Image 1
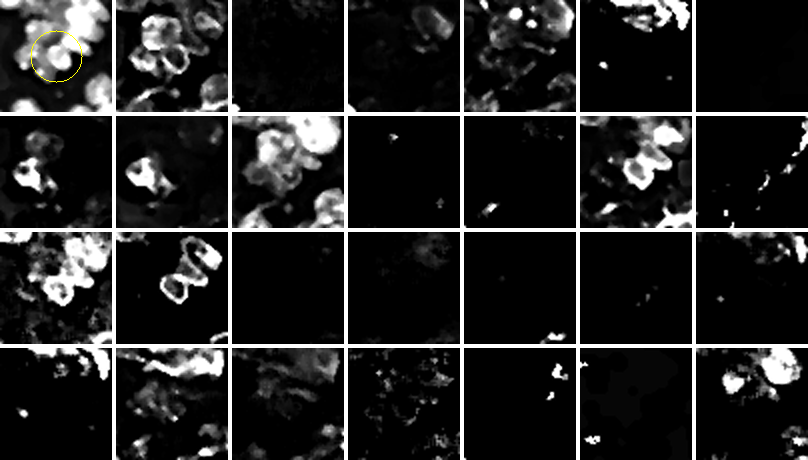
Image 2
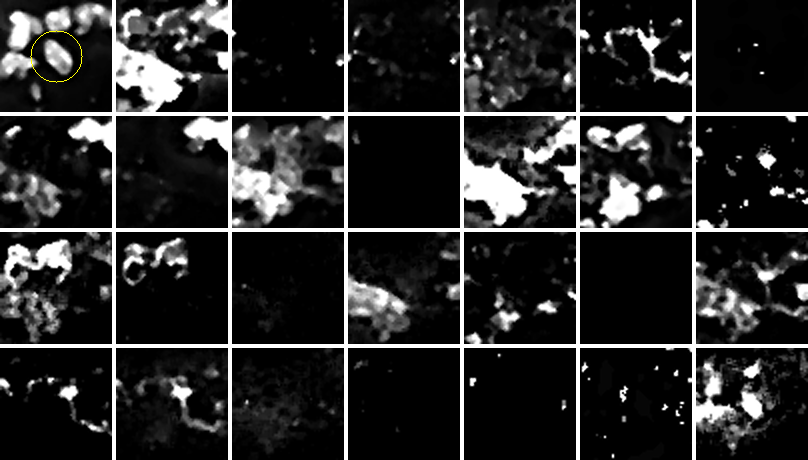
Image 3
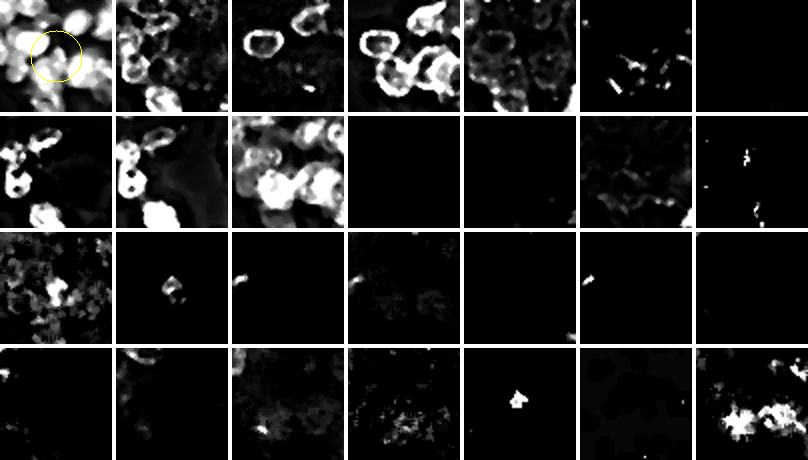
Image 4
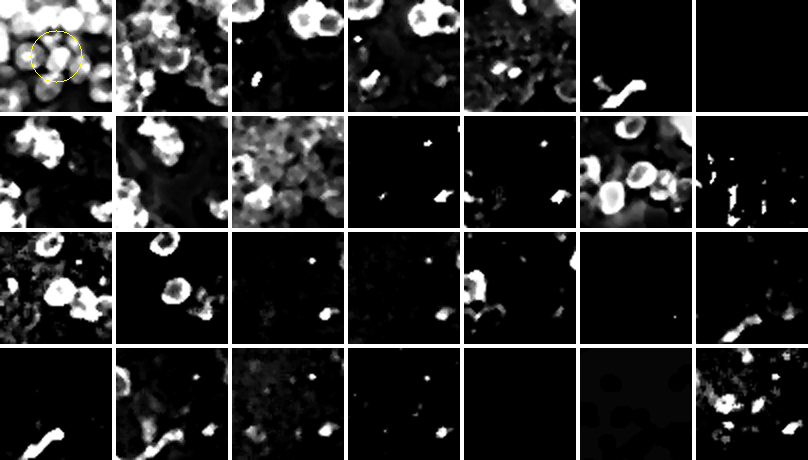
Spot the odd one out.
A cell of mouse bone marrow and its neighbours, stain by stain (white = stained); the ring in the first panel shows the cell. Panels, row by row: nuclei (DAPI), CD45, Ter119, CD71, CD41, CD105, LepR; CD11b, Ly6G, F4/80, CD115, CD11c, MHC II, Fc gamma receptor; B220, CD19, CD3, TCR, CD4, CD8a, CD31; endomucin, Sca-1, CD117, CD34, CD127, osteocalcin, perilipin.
Picture 2 (a conventional dendritic cell among B cells).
